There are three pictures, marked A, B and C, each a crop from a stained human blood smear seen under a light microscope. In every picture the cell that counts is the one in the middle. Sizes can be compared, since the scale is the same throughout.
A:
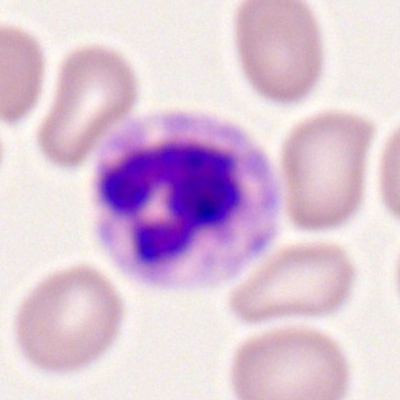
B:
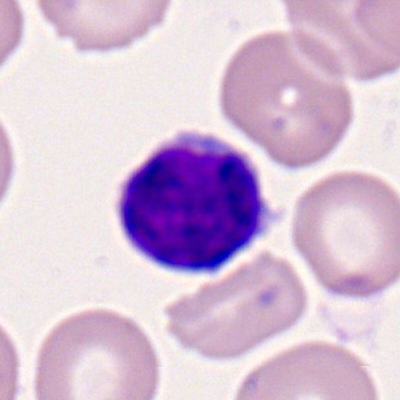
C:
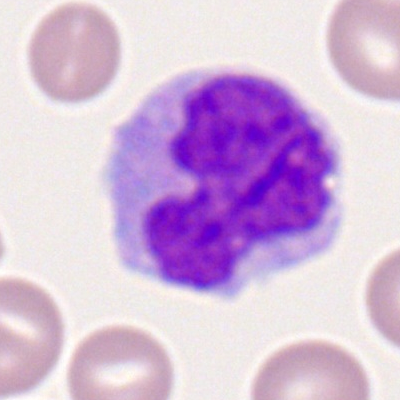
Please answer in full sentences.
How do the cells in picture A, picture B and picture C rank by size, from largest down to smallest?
The order is C, A, B, beginning with the largest.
